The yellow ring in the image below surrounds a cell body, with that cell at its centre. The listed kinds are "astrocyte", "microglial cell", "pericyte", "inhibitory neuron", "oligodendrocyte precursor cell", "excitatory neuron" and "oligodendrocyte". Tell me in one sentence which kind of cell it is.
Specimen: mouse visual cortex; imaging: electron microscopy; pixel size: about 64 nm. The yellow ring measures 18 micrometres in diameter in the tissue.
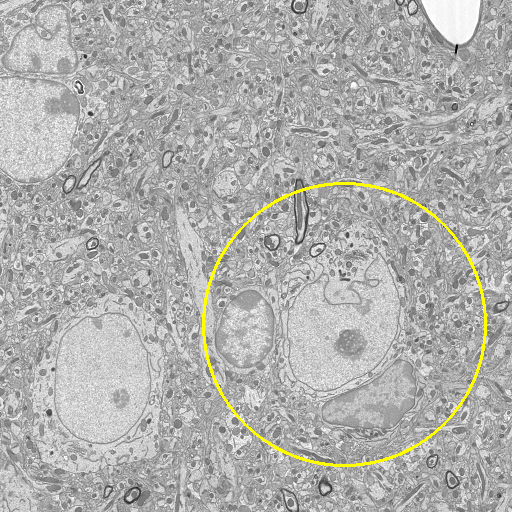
The centre of the ring holds an inhibitory neuron.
